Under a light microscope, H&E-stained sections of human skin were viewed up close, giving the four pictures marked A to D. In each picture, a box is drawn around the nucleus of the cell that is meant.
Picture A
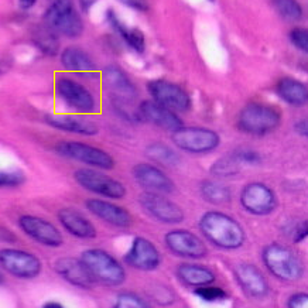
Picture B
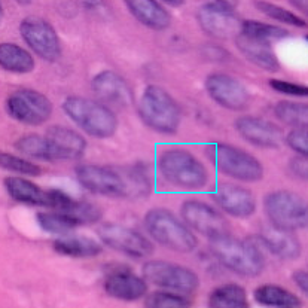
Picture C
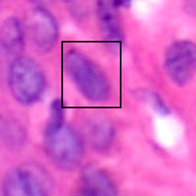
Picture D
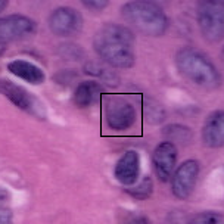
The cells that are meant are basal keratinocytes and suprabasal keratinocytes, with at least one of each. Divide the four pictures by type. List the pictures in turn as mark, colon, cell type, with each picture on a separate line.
A: basal keratinocyte
B: suprabasal keratinocyte
C: basal keratinocyte
D: basal keratinocyte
